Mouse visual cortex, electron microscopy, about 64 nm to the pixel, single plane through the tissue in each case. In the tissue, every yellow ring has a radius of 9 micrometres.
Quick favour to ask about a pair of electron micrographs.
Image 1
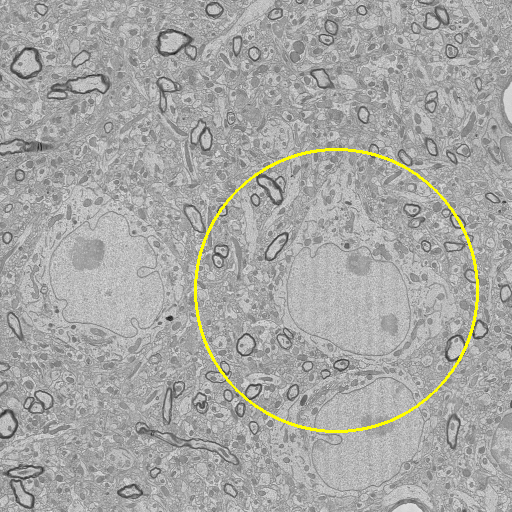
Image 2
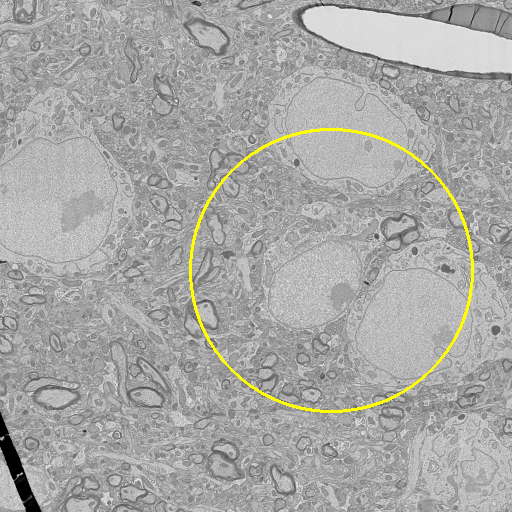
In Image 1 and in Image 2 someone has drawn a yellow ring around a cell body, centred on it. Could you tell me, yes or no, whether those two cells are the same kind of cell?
no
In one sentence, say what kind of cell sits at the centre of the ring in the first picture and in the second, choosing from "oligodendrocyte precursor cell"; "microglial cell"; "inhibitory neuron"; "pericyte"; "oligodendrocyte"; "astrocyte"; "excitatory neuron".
The first picture's ringed cell is an excitatory neuron, while the second picture's is an astrocyte.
